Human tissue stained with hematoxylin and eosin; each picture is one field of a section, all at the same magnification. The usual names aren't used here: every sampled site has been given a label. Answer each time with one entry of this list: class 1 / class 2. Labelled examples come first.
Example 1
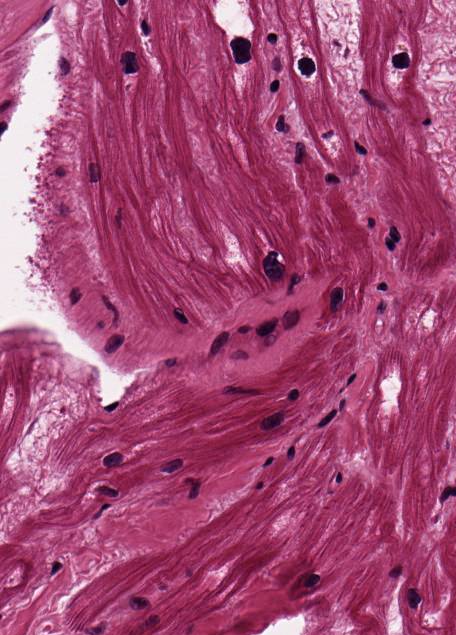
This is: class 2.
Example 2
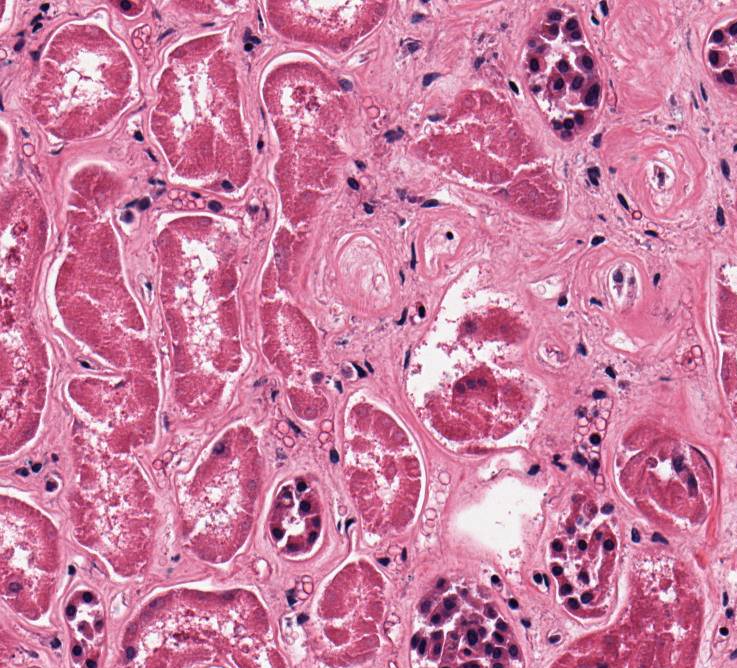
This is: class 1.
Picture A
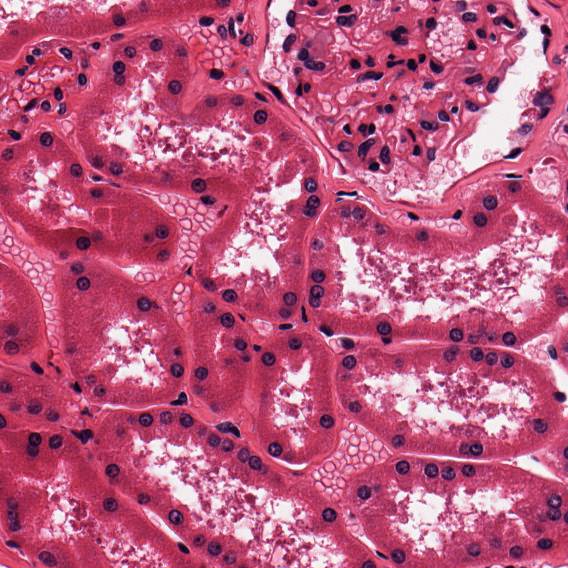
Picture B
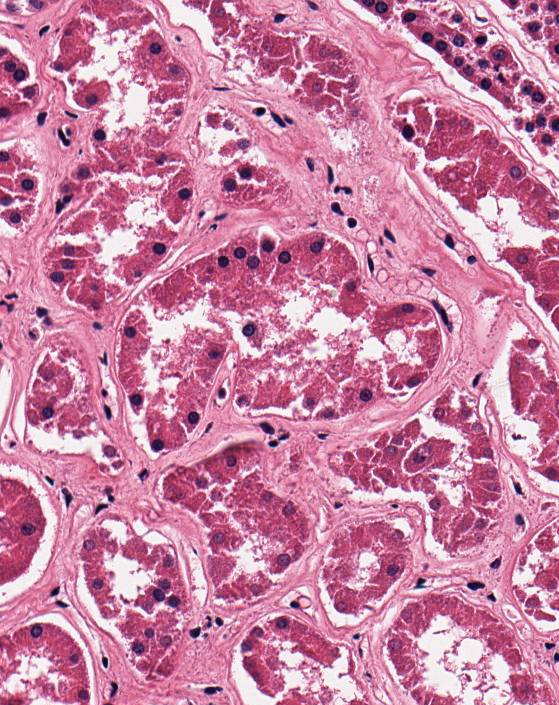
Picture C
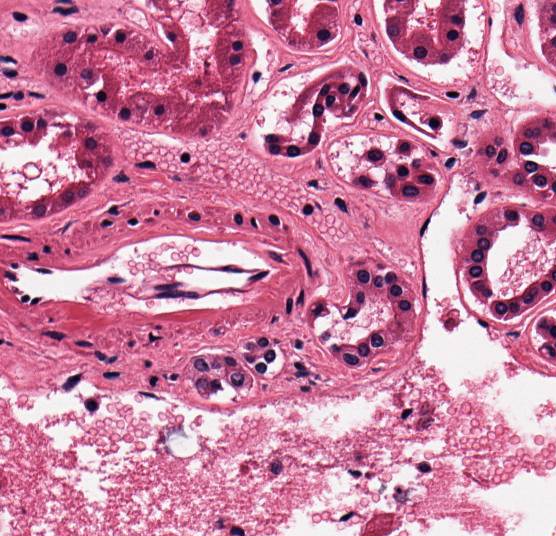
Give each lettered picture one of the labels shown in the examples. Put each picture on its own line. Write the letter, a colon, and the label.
A: class 1.
B: class 1.
C: class 1.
